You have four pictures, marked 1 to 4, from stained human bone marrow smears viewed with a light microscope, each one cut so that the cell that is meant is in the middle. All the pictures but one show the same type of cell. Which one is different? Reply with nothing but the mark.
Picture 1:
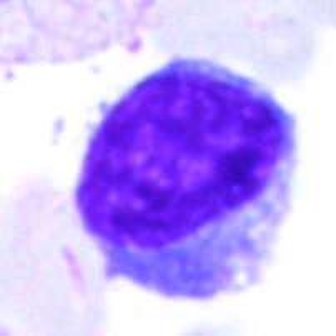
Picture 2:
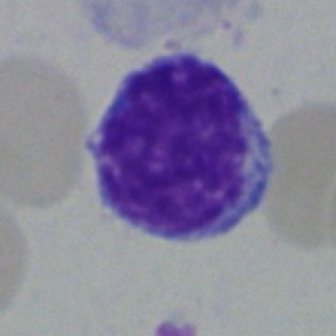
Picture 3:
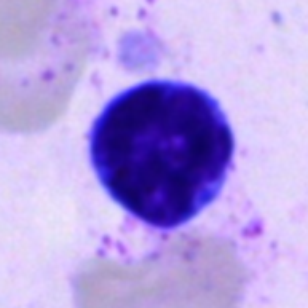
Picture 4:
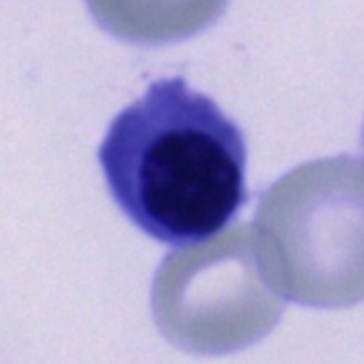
4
